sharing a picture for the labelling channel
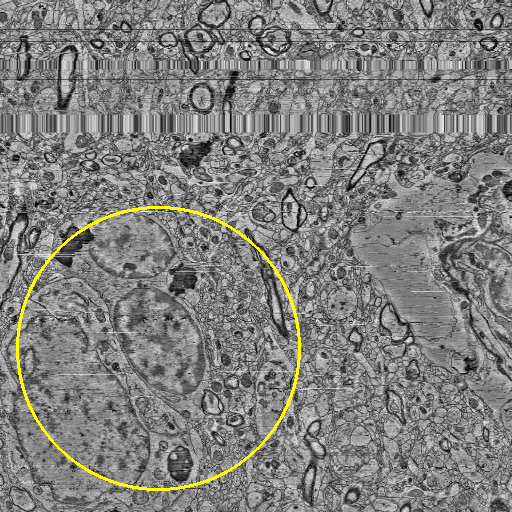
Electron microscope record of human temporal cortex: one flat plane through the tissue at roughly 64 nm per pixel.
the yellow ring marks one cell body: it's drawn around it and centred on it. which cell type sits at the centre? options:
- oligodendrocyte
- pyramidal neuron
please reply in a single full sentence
In the picture, the cell at the ring's centre is an oligodendrocyte, going by the list.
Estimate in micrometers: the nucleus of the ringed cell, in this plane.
The nucleus of the ringed cell is clearly longer than it is wide in this plane, about 8 by 5 micrometres.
